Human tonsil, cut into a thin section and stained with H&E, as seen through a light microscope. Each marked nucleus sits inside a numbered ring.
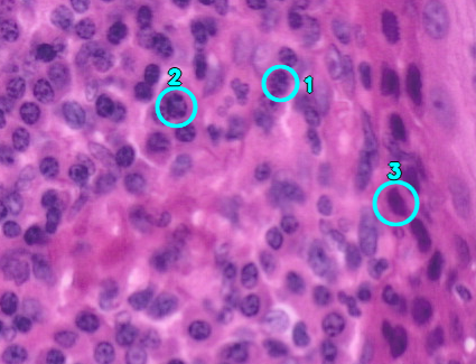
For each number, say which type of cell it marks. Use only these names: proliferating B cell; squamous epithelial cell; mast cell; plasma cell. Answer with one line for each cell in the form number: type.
1: plasma cell
2: plasma cell
3: squamous epithelial cell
